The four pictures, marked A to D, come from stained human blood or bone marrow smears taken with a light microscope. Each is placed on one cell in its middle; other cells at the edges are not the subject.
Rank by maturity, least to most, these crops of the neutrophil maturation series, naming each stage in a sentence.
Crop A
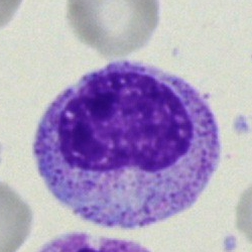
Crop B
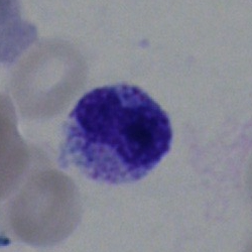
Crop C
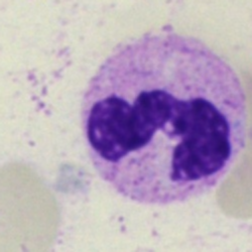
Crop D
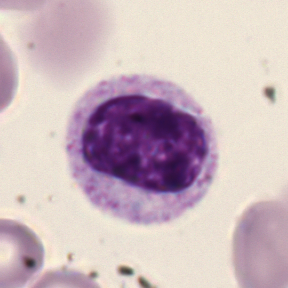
Arranged from least mature to most mature, the sequence reads crop A (a myelocyte), crop D (a metamyelocyte), crop B (a band neutrophil) and crop C (a segmented neutrophil).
